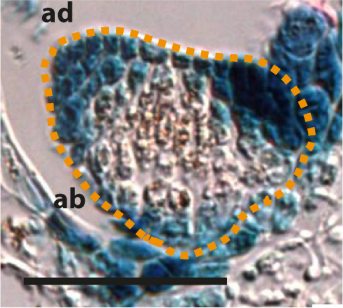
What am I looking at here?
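This transverse section shows a young leaf cut across, outlined by a dashed line, with a flattened, somewhat kidney-like shape. A single layer of small surface cells surrounds larger, rounded inner cells whose contents look granular and brownish. Blue stain is strongest in the surface layer and outer cells, especially along the upper side and in a dark patch at the upper right corner. The central cells are mostly unstained, and the stain along the lower side is weaker and patchier than along the upper side.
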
